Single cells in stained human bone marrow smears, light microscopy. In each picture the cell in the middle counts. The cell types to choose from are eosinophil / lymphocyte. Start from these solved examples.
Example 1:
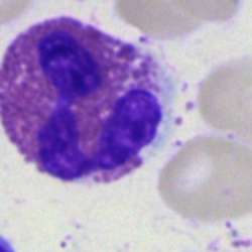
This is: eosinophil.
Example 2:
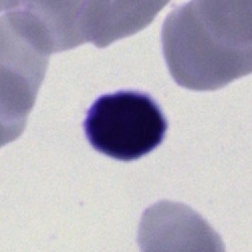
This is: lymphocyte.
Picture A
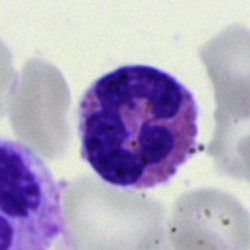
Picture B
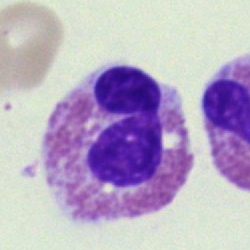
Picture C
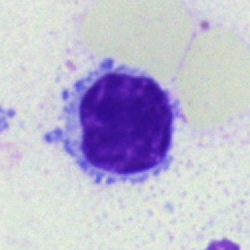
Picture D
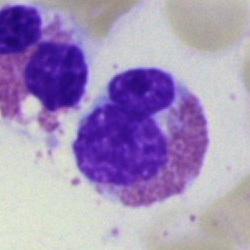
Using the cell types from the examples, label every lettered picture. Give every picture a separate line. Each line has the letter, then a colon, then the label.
A: eosinophil.
B: eosinophil.
C: lymphocyte.
D: eosinophil.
